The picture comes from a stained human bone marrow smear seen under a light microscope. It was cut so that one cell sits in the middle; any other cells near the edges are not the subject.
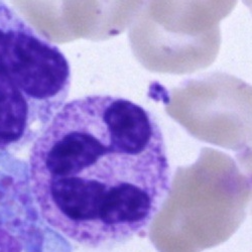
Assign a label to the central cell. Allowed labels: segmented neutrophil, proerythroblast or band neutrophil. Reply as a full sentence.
To answer, the cell in the center of the crop is a segmented neutrophil.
